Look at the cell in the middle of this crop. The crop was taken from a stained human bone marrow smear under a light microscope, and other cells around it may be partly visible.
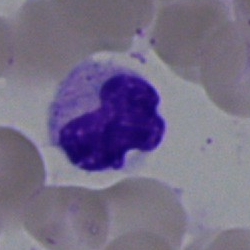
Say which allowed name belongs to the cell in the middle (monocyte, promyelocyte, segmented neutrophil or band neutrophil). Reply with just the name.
segmented neutrophil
